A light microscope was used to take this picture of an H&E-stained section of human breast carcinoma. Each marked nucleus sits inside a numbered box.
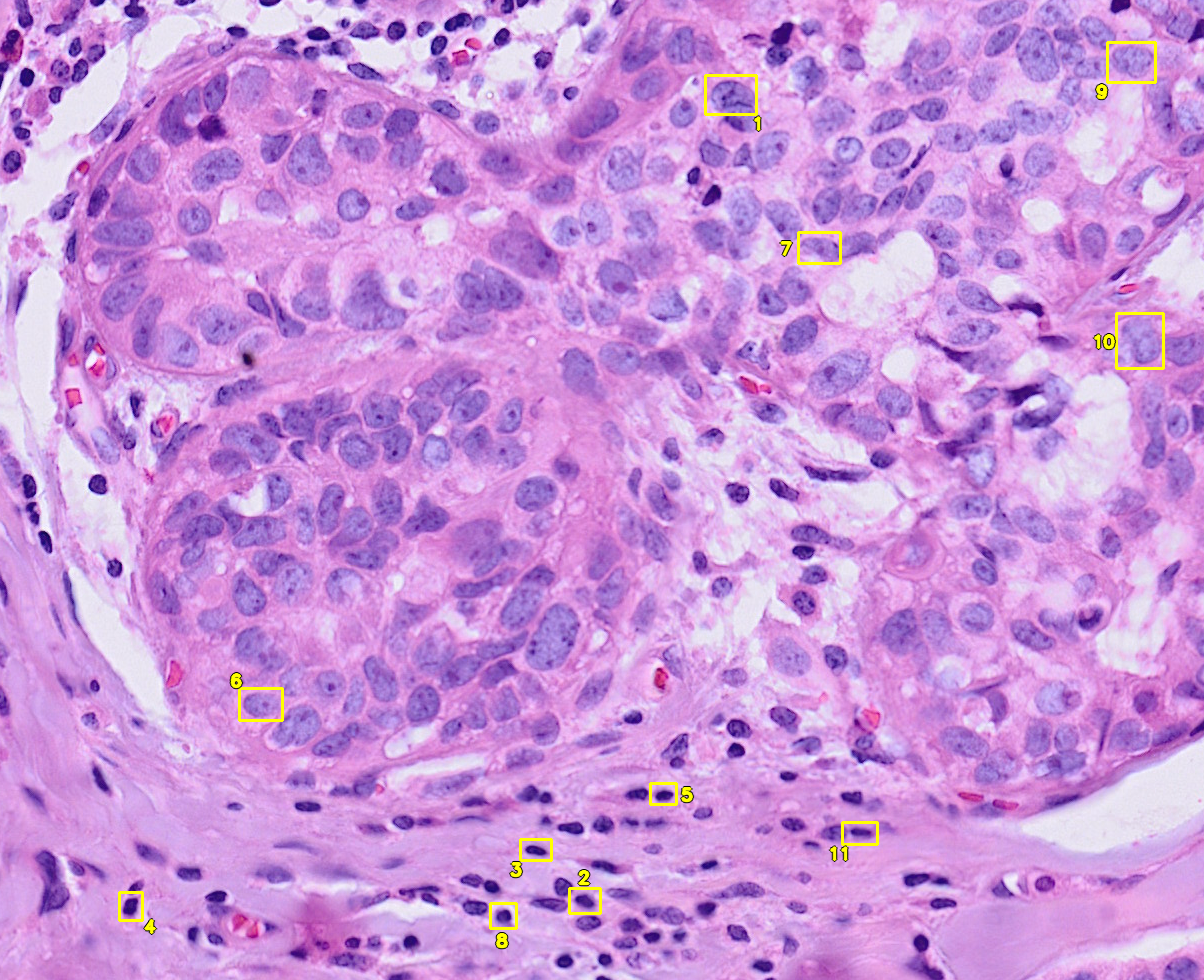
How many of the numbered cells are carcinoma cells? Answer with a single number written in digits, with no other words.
5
